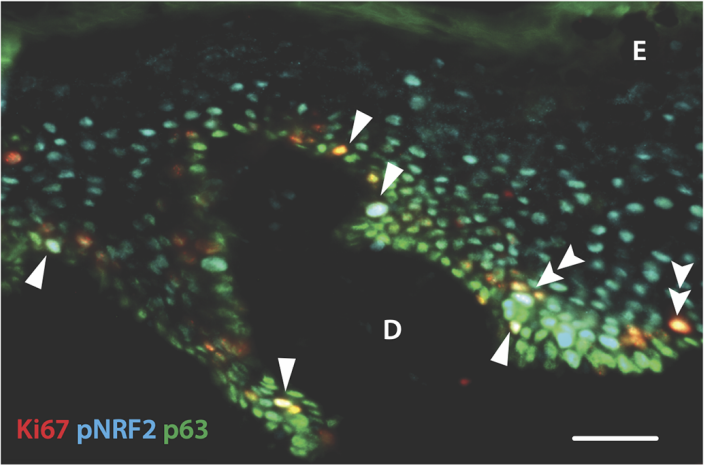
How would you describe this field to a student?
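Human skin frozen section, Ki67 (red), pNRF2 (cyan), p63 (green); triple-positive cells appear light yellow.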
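The epidermis forms an undulating band whose lower edge dips into the dermis, and its nuclei are oval and closely spaced. The lowest rows carry bright green nuclei, while nuclei higher up are more cyan and sparser, and the uppermost region is only faintly labelled. Scattered red and light yellow nuclei lie mainly in the basal and lower layers.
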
